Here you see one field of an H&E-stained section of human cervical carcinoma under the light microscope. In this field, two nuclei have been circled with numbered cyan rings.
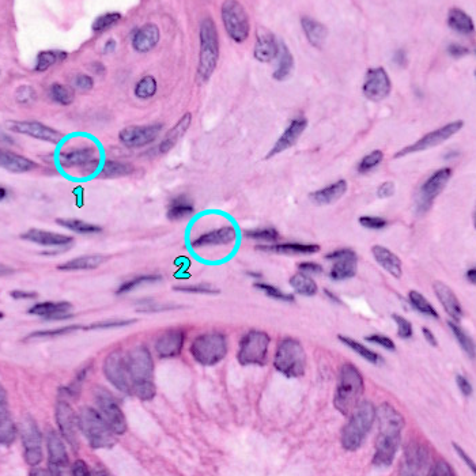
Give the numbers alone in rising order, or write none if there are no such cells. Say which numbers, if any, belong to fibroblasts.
2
